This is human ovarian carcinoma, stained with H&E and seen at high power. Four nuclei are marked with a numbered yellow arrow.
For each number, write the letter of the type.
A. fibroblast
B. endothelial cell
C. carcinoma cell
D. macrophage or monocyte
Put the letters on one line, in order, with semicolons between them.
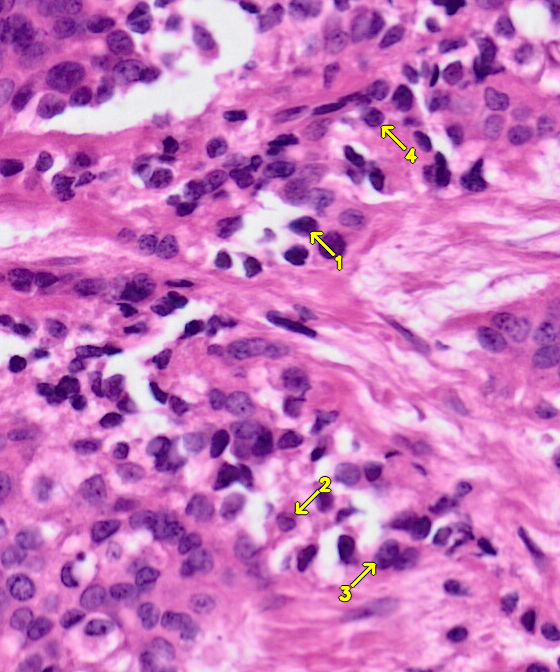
C; D; C; C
